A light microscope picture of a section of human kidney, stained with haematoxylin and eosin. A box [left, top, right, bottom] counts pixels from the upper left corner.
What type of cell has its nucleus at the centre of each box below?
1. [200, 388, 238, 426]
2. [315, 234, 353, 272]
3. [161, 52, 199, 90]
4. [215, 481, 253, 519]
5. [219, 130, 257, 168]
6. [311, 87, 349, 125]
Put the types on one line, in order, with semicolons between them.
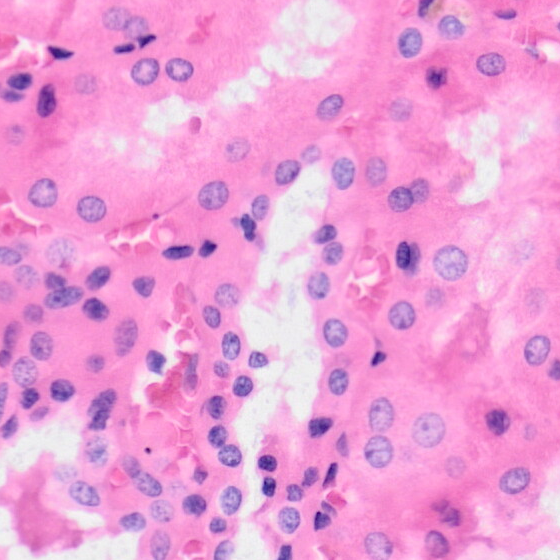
collecting duct cell; collecting duct cell; proximal tubule cell; collecting duct cell; proximal tubule cell; proximal tubule cell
